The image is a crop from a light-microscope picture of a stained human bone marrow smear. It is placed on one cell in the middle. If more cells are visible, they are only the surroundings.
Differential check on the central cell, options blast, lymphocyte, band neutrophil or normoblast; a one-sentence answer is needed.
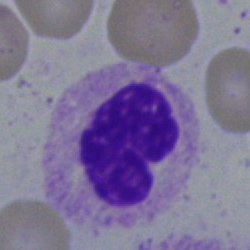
Answering briefly, the cell in the middle is a band neutrophil.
